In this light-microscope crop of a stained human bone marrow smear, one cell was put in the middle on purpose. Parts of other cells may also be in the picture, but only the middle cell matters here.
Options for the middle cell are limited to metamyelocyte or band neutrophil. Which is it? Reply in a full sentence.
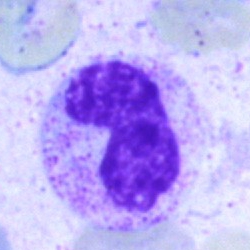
This crop's central cell is a band neutrophil.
